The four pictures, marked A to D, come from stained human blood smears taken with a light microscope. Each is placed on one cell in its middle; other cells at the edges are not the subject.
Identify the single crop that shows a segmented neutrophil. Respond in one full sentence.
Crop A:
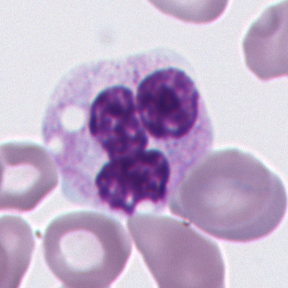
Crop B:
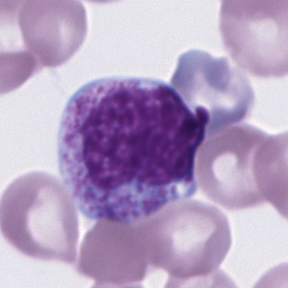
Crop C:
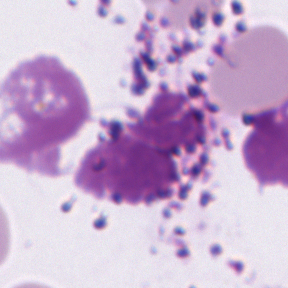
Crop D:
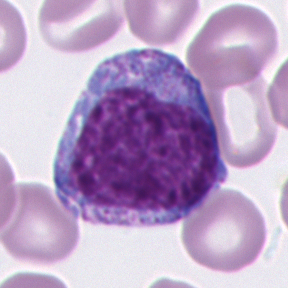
Of the labelled crops, the one that shows a segmented neutrophil is crop A.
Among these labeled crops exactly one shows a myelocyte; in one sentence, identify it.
Selected crop: B, which is the one that shows a myelocyte.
